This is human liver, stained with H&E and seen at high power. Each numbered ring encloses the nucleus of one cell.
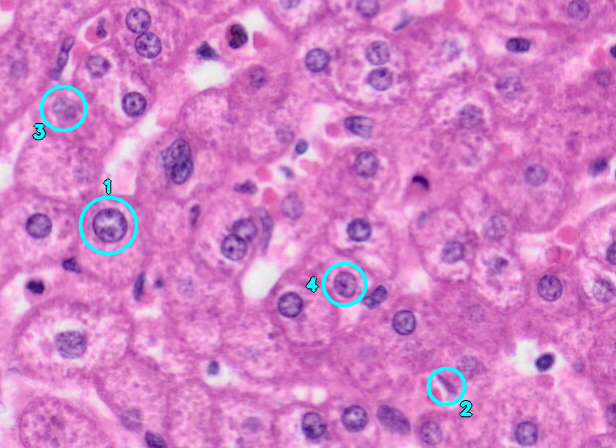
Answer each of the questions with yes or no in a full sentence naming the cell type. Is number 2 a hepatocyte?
No, number 2 is not a hepatocyte but an endothelial cell.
